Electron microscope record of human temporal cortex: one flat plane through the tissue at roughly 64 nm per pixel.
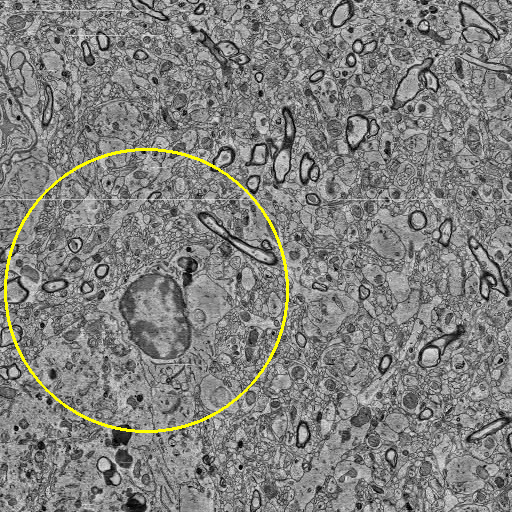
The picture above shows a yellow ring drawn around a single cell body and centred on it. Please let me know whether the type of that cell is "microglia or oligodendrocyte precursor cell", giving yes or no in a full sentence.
Yes, that type fits the cell at the centre of the ring above.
